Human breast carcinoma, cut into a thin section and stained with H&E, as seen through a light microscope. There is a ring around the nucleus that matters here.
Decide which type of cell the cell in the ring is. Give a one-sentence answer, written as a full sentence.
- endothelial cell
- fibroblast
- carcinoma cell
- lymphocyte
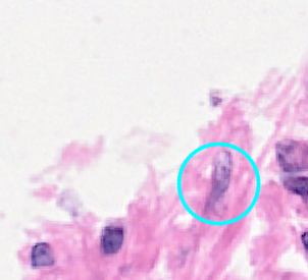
It is as a fibroblast that the cell in the ring is recorded.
